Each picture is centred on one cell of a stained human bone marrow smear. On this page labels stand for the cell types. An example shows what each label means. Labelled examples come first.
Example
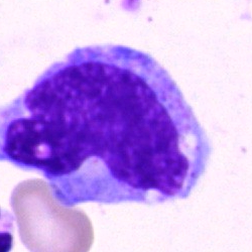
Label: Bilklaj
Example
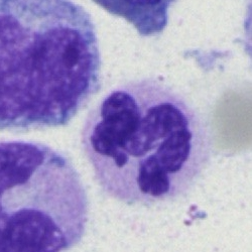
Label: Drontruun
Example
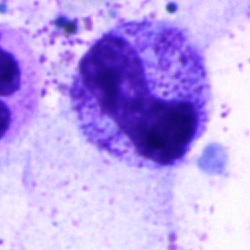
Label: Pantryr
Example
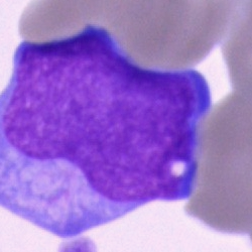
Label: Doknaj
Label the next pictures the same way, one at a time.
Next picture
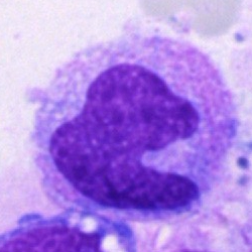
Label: Bilklaj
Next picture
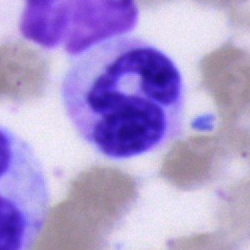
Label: Drontruun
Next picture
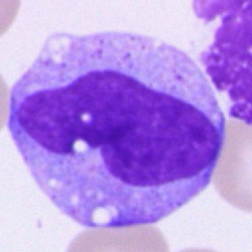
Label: Bilklaj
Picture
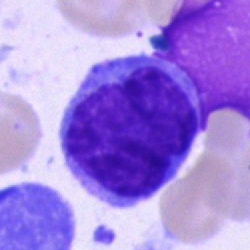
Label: Bilklaj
